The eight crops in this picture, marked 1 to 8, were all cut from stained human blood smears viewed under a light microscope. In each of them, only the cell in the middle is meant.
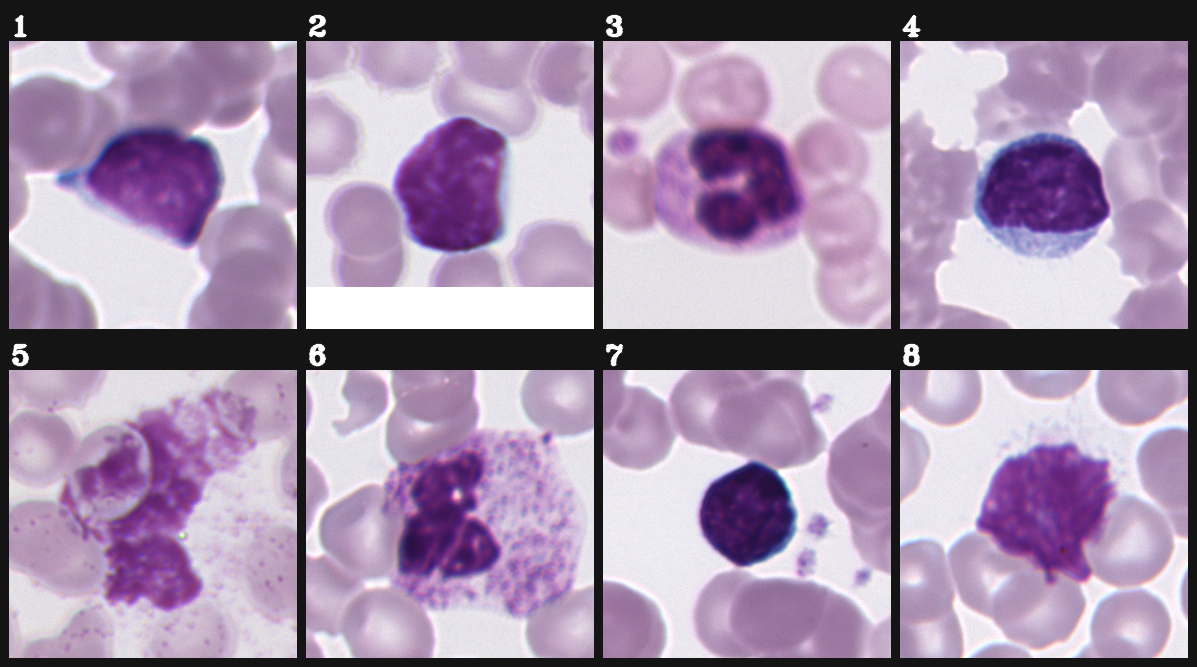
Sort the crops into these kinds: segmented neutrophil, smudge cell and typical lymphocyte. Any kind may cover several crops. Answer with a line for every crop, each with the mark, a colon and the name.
1: typical lymphocyte
2: typical lymphocyte
3: segmented neutrophil
4: typical lymphocyte
5: smudge cell
6: segmented neutrophil
7: typical lymphocyte
8: smudge cell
